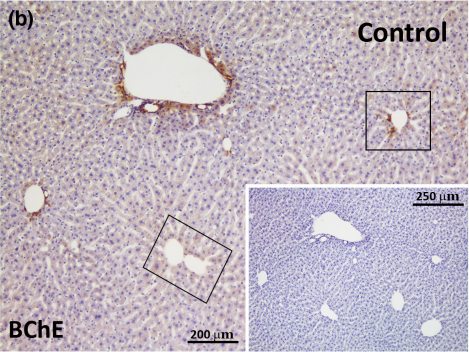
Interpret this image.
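This is liver tissue in which plates of hepatocytes radiate between vessels of different sizes. The hepatocytes form cords of polygonal cells with small round blue nuclei and a faintly brown cytoplasm. A large vessel lumen in the upper part and several smaller ones are scattered across the field. Around the walls of the large vessel and next to a small vessel on the right, small groups of cells carry a darker brown stain than the surrounding tissue. Two rectangular boxes mark regions around small vessels. The inset in the lower right shows a similar field in blue only, without brown staining.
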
